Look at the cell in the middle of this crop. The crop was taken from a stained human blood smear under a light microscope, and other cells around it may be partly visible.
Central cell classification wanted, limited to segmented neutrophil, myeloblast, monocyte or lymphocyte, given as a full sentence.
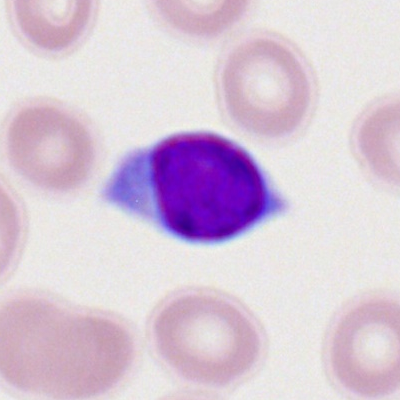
The cell in the middle of the field of view is a lymphocyte.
